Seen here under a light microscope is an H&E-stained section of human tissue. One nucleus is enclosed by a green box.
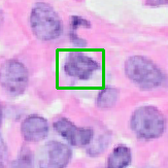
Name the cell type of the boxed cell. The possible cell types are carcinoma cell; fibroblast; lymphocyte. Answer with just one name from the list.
carcinoma cell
